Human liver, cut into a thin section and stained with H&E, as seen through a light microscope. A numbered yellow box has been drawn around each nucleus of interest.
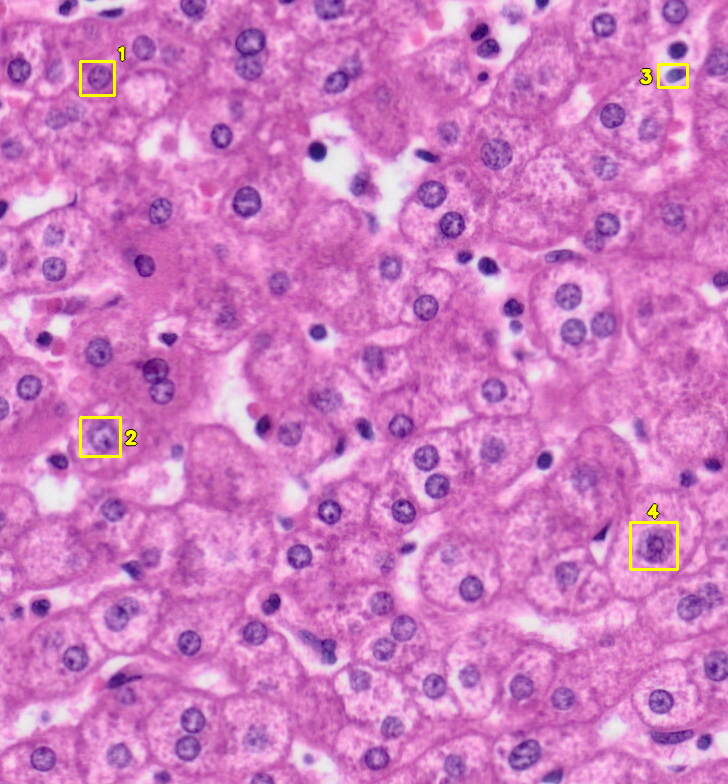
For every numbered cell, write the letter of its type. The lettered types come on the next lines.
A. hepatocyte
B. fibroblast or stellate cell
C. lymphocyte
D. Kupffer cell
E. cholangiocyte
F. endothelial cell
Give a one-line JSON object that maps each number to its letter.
{"1": "A", "2": "A", "3": "C", "4": "A"}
